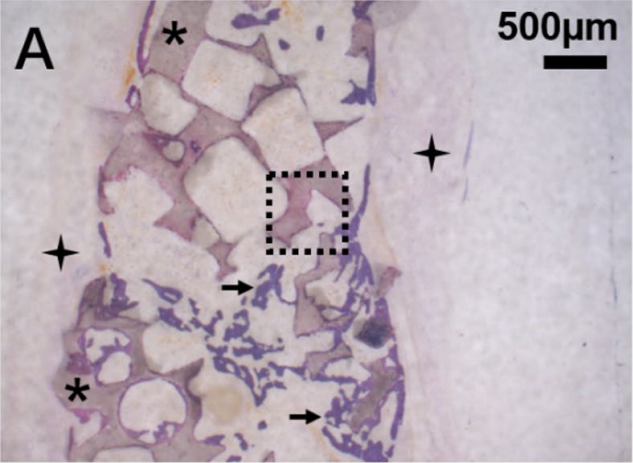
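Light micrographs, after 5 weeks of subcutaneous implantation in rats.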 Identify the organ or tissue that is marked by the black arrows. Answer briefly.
Newly formed bone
